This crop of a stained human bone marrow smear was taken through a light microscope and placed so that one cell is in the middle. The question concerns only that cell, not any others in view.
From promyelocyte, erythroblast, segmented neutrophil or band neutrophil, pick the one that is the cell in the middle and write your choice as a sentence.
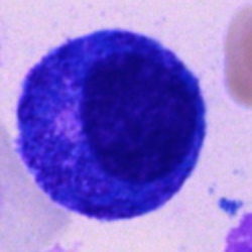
Framed in the middle of the crop is a promyelocyte.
